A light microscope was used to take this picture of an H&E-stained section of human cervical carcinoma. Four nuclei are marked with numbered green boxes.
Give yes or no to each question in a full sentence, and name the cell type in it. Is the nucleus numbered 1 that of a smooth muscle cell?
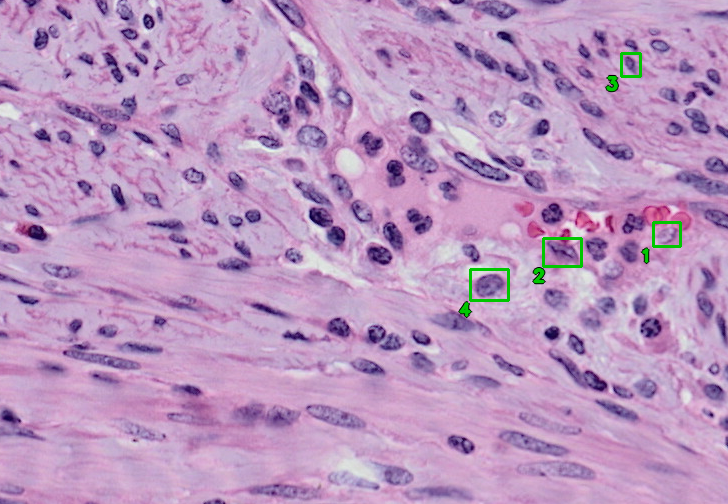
No, cell 1 does not represent a smooth muscle cell; it represents an endothelial cell.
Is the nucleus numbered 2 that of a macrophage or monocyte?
No, the cell tagged 2 is an endothelial cell, not a macrophage or monocyte.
